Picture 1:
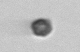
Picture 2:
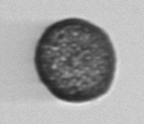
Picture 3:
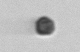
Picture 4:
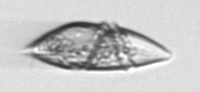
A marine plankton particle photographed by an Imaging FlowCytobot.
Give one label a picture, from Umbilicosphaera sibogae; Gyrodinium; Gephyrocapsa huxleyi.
1: Gephyrocapsa huxleyi
2: Umbilicosphaera sibogae
3: Gephyrocapsa huxleyi
4: Gyrodinium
